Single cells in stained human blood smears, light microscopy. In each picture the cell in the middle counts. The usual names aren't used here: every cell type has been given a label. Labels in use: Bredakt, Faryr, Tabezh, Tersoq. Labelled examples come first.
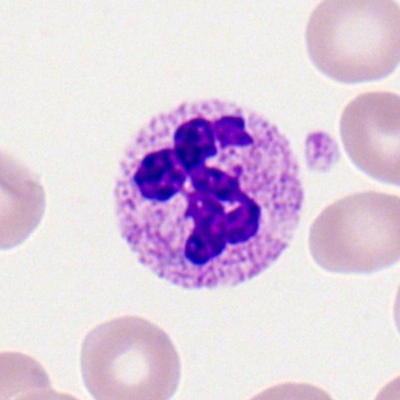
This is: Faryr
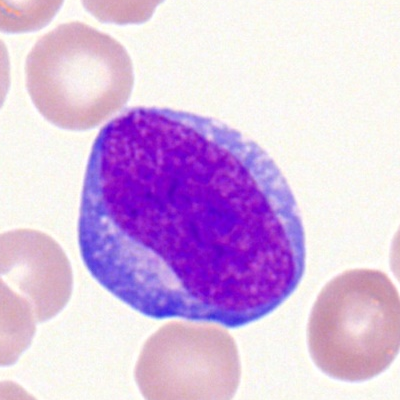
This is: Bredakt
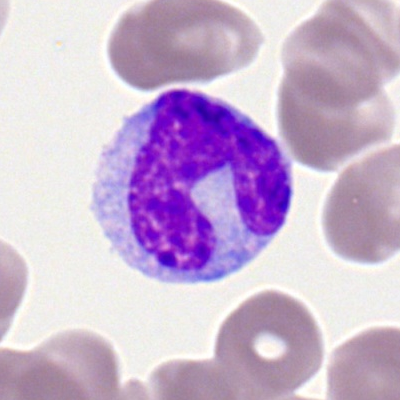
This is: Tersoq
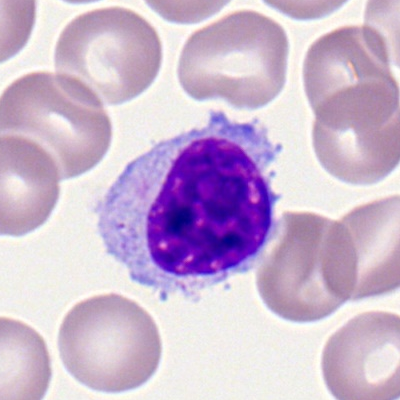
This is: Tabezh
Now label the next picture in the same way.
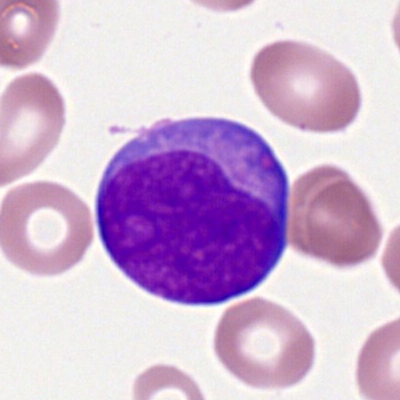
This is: Bredakt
